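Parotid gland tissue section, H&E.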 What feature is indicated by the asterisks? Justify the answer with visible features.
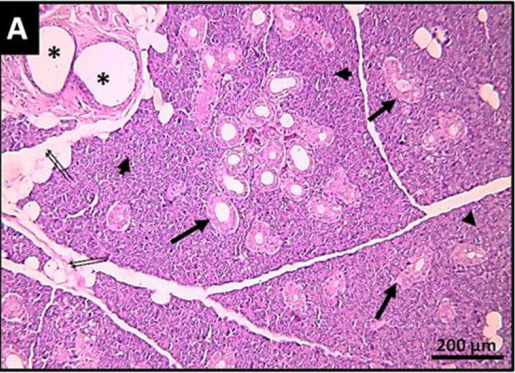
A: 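They sit outside the densely packed purple lobule.
Conclusion: interlobular excretory ducts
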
